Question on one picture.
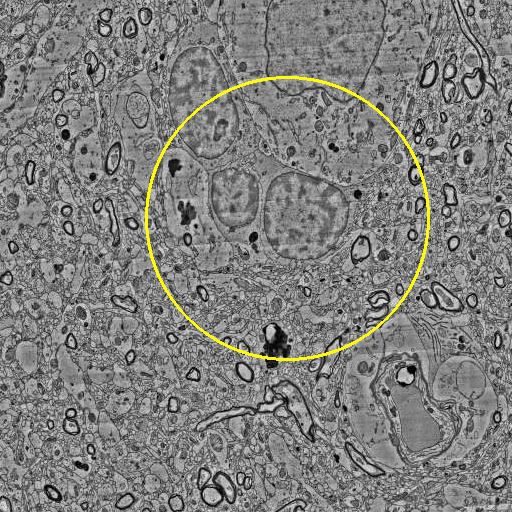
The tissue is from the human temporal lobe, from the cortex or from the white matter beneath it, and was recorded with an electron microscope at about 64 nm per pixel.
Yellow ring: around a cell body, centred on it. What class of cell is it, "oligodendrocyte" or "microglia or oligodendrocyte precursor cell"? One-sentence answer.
This is an oligodendrocyte, the cell the ring is centred on.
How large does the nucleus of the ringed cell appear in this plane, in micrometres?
In this plane, the nucleus of the cell at the centre of the ring is about 6 micrometres across.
